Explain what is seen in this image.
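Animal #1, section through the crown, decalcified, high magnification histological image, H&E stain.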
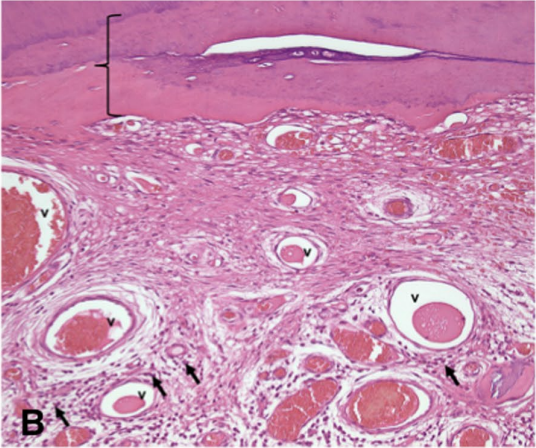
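This is the pulp of a tooth beneath a layer of hard tissue, with loose connective stroma crowded with blood vessels. Many round vessels of varying size are distended with red-staining blood cells, some with concentric pale walls. Between the vessels lie small clusters of dark round nuclei of inflammatory cells. At the top, a dense pink band of hard tissue with scattered cell spaces borders the pulp, with a cleft running within it.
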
